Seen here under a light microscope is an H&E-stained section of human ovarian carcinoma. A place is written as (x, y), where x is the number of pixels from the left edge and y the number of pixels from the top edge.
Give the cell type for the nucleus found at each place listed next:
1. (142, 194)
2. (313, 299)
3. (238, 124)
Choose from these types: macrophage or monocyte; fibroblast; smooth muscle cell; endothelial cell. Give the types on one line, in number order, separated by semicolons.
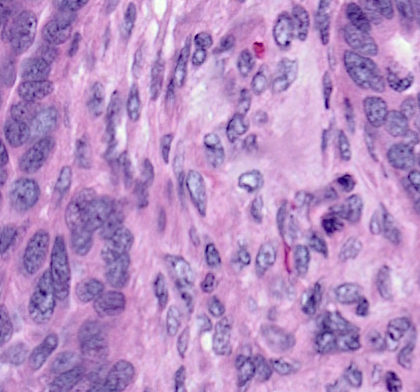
fibroblast; endothelial cell; endothelial cell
